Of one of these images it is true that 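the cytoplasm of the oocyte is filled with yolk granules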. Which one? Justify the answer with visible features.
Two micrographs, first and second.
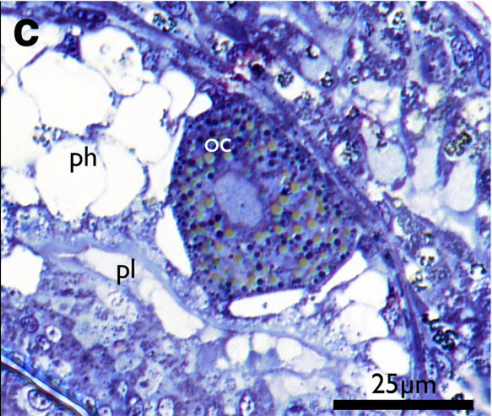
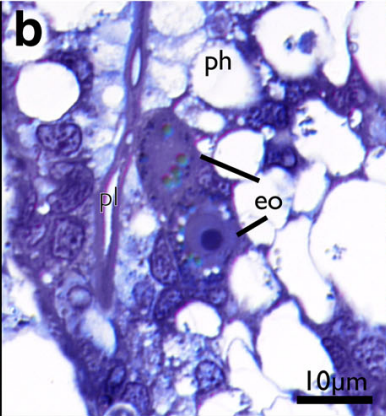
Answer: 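The first image. First image: a large cell whose cytoplasm is densely packed with round yellow-brown and dark granules. Second image: small cells with only a few colored granules, the nucleus taking up much of the cell.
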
